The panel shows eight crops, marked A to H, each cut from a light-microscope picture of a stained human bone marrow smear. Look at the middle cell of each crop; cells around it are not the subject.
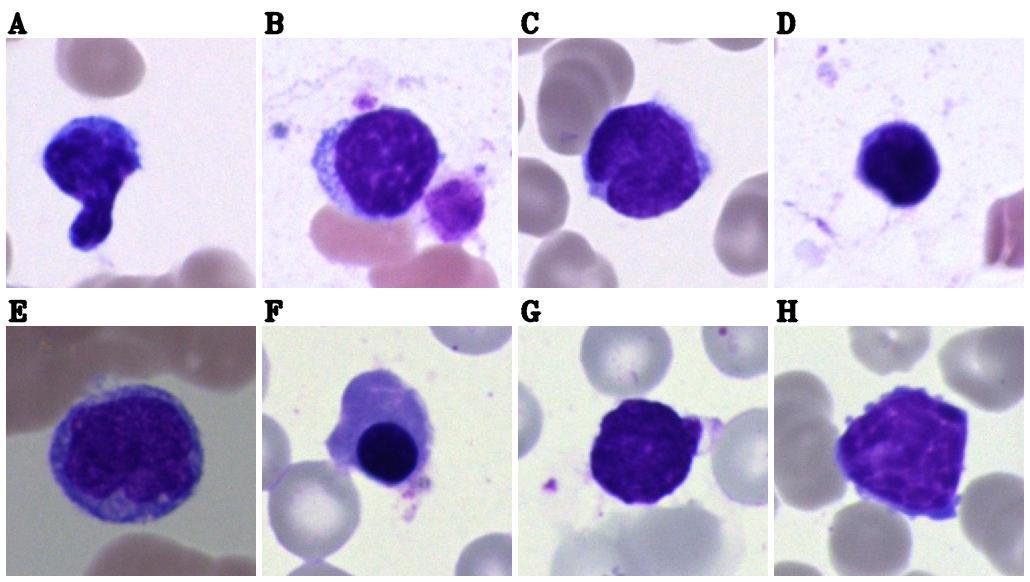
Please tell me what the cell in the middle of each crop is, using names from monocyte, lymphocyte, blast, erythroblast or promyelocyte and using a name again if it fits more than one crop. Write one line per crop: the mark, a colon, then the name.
A: blast
B: lymphocyte
C: lymphocyte
D: lymphocyte
E: monocyte
F: erythroblast
G: lymphocyte
H: blast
